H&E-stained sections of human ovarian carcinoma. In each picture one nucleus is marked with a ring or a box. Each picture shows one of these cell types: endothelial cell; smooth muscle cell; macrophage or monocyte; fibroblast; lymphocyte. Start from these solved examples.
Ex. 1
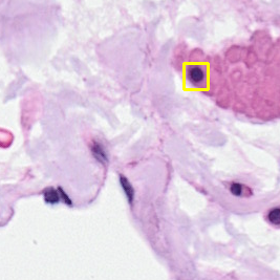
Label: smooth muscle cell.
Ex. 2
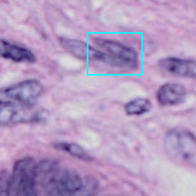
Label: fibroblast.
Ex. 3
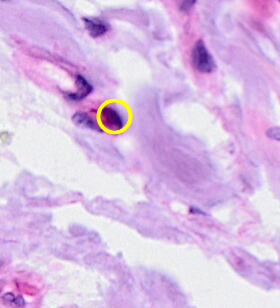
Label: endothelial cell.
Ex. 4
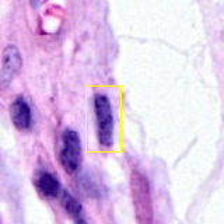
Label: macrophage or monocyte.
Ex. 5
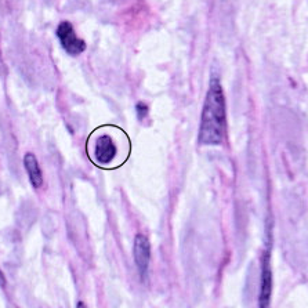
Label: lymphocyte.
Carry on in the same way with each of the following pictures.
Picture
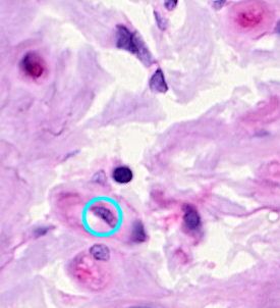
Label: endothelial cell.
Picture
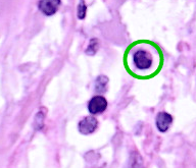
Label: lymphocyte.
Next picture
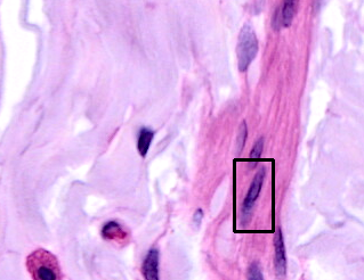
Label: smooth muscle cell.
